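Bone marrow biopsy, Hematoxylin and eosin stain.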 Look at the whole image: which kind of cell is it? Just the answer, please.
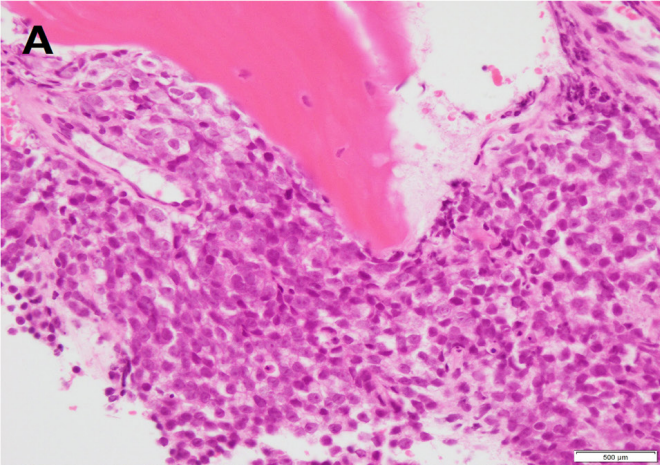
Small round cells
